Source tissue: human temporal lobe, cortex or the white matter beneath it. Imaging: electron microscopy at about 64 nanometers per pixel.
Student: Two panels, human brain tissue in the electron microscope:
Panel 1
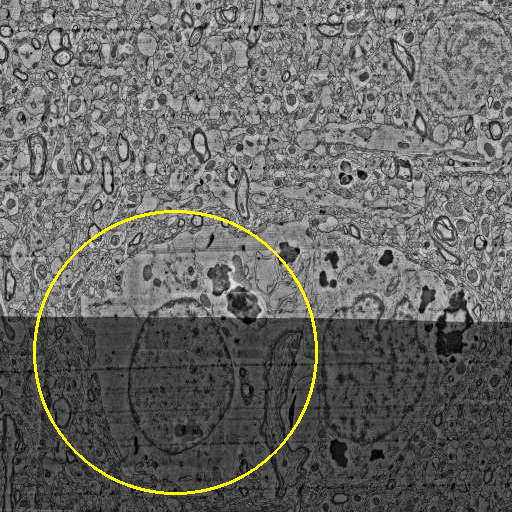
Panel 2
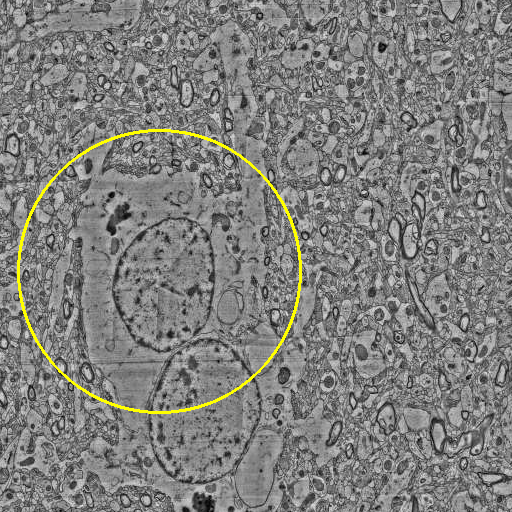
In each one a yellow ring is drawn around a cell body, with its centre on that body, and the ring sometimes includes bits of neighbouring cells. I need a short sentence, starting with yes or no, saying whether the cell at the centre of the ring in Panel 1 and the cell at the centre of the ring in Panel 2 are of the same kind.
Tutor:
Yes, they are the same kind of cell.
